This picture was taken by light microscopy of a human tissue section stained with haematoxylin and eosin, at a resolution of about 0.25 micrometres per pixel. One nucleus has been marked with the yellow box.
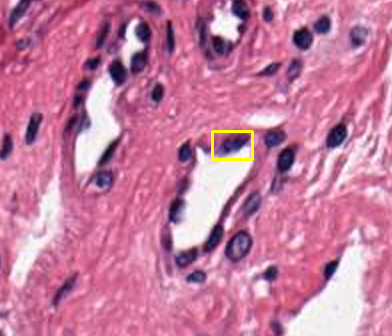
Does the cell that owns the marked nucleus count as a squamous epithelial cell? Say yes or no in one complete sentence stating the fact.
No, the marked nucleus belongs to a supporting cell, and a squamous epithelial cell is not its owner.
